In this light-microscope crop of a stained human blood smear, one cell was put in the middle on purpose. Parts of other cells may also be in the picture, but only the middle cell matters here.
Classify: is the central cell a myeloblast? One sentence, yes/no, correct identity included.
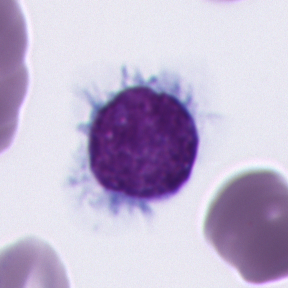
No, what the centre of the crop shows is a hairy cell, not a myeloblast.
